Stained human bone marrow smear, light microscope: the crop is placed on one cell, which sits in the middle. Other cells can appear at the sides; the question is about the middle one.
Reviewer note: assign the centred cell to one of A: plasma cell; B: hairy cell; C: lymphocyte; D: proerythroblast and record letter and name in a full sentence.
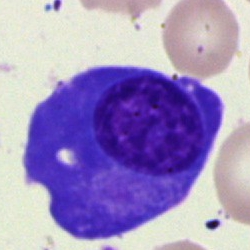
The centered cell is a plasma cell, which is why option A is right.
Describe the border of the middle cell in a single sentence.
Not smooth, the outline of the cell is ragged or drawn out into projections.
